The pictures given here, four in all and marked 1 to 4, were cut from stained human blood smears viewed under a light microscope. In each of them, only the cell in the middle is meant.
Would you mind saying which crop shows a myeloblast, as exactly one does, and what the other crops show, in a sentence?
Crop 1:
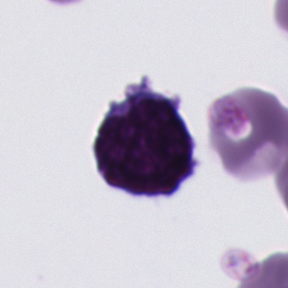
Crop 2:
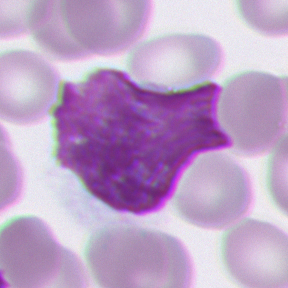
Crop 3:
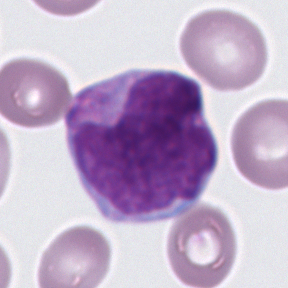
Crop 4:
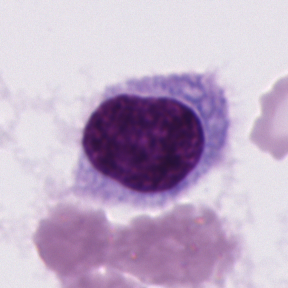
Concerning crop 1, the cell shown is a myeloblast, whereas crop 2 is a smudge cell, crop 3 is an atypical promyelocyte and crop 4 is a hairy cell.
